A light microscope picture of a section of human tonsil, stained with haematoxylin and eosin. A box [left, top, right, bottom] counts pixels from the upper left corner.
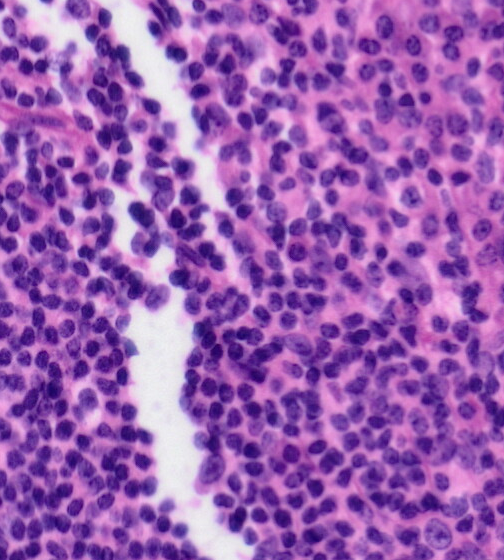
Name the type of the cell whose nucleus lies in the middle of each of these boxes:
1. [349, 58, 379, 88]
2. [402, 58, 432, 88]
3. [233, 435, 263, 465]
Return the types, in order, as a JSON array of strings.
["plasma cell", "plasma cell", "small lymphocyte"]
